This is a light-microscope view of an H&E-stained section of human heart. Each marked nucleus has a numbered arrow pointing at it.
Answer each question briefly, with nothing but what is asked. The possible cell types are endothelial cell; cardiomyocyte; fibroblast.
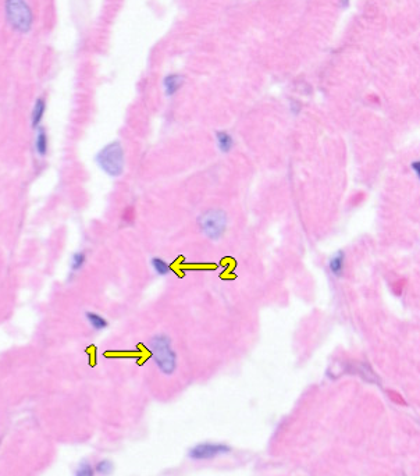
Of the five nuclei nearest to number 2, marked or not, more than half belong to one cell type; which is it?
cardiomyocyte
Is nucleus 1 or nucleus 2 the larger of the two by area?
1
